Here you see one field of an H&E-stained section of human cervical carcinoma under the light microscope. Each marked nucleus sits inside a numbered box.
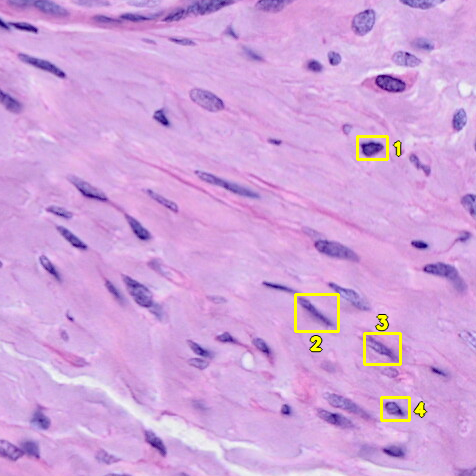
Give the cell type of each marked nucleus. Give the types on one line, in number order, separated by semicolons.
fibroblast; fibroblast; smooth muscle cell; fibroblast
